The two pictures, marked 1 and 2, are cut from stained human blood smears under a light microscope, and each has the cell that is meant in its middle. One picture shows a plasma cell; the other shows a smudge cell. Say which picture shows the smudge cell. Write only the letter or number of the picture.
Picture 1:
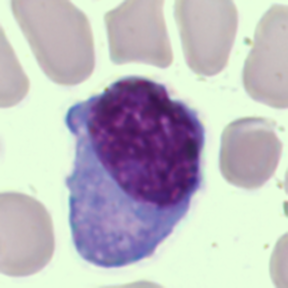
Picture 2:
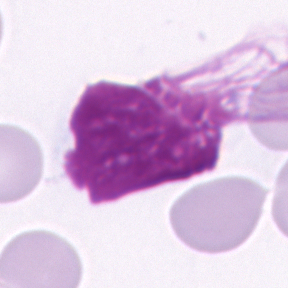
2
